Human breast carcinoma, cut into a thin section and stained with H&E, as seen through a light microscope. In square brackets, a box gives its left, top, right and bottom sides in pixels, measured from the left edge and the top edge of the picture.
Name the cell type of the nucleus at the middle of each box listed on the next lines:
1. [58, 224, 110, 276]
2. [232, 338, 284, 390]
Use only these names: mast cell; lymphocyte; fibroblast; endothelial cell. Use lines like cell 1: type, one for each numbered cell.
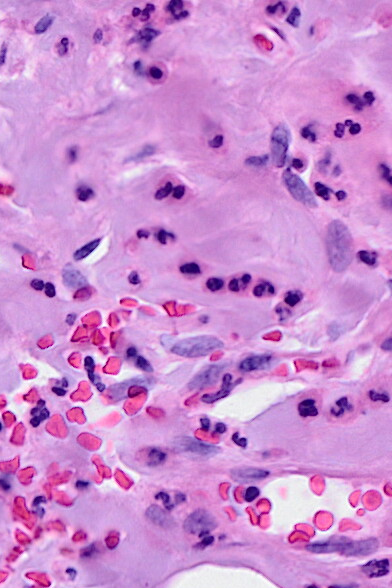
cell 1: fibroblast
cell 2: endothelial cell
